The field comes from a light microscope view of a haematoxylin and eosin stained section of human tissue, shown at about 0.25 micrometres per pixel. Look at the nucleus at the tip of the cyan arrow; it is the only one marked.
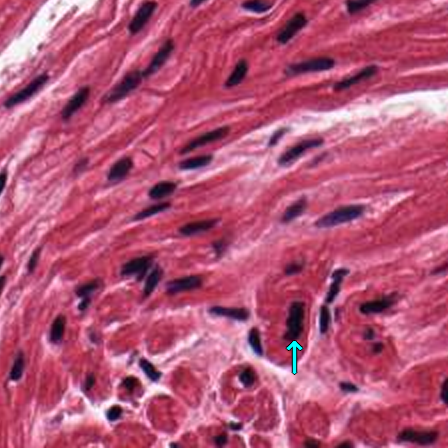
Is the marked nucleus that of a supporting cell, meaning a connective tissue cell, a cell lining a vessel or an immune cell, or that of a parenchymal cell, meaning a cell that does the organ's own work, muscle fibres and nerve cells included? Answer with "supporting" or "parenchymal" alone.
parenchymal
